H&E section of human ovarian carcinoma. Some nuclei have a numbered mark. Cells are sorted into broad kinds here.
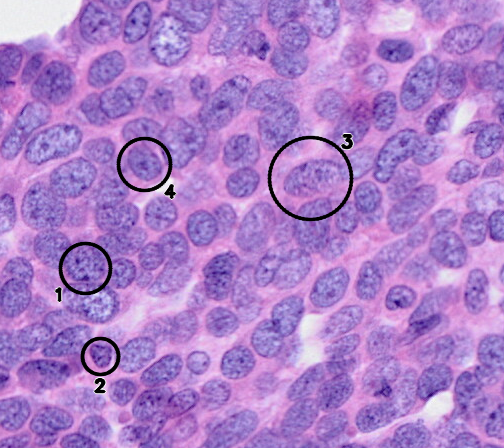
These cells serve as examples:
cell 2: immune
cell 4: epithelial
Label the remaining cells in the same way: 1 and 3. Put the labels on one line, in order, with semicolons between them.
epithelial; epithelial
